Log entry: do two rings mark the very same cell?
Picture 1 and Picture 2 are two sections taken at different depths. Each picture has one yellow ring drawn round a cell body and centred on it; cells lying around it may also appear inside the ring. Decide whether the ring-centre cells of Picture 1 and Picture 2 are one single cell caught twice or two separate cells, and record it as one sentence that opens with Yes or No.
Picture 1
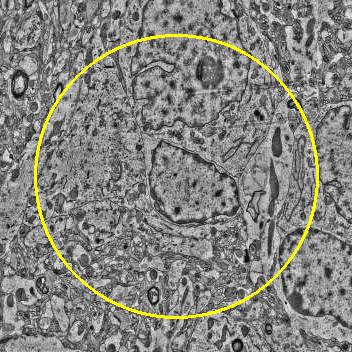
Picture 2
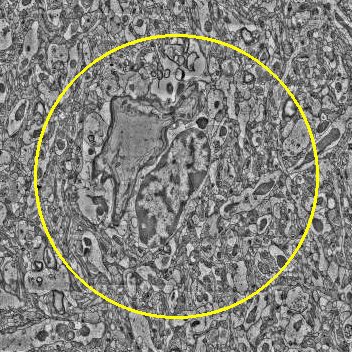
No, a different cell sits inside each of the two rings.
